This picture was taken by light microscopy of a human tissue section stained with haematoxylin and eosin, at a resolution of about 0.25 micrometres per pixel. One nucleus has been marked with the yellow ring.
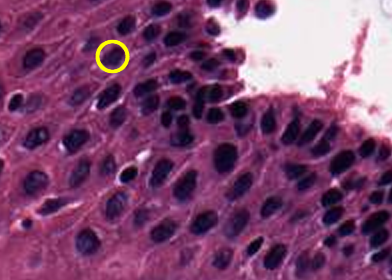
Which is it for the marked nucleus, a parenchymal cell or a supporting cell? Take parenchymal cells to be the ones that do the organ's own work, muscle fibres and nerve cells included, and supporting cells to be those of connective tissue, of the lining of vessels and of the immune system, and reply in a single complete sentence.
In the image the marked nucleus is that of a squamous epithelial cell, a parenchymal cell.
